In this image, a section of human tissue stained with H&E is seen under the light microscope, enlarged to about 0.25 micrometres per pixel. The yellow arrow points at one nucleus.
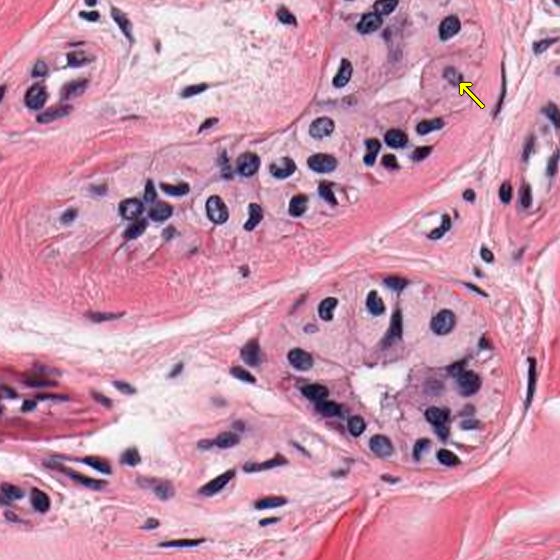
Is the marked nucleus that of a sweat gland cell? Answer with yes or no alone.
yes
